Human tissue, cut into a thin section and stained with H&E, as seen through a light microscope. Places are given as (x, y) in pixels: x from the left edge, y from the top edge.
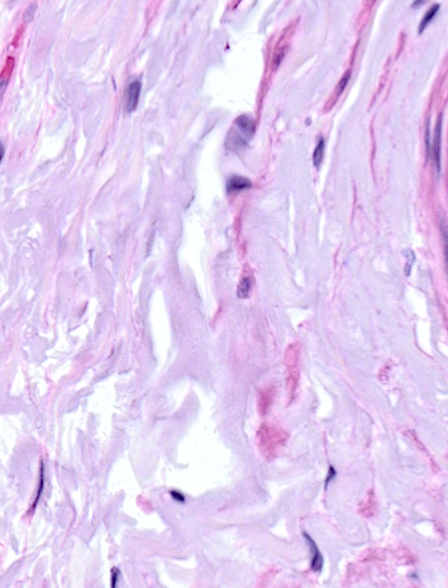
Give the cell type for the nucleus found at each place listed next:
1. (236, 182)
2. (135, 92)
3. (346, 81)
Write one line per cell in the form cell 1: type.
cell 1: fibroblast
cell 2: fibroblast
cell 3: smooth muscle cell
